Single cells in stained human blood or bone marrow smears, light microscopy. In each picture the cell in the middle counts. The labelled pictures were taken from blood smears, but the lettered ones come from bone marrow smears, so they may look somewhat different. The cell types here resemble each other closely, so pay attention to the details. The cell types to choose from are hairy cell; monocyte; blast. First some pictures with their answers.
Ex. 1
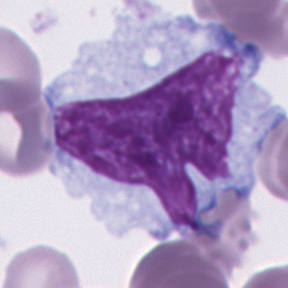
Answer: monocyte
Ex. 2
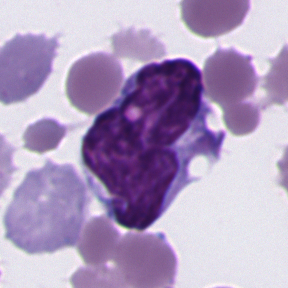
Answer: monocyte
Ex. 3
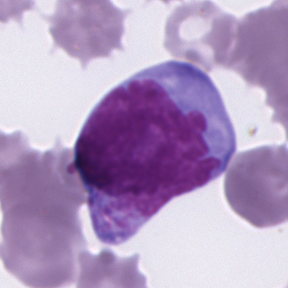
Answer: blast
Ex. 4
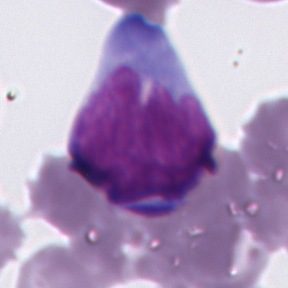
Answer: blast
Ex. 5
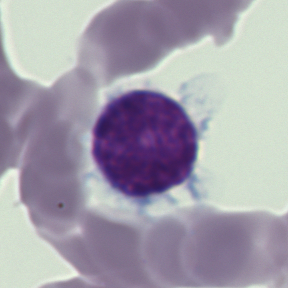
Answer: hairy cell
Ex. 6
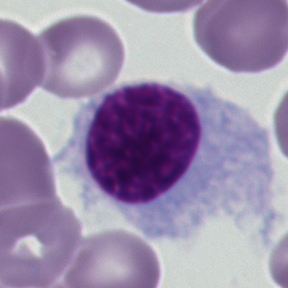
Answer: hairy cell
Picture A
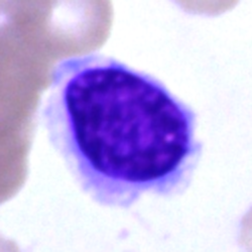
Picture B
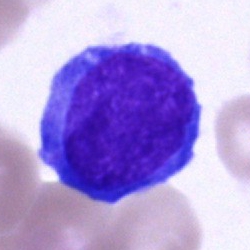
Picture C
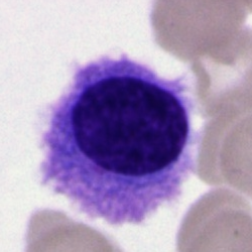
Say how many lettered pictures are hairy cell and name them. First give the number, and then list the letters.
Count: 2 (A, C)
